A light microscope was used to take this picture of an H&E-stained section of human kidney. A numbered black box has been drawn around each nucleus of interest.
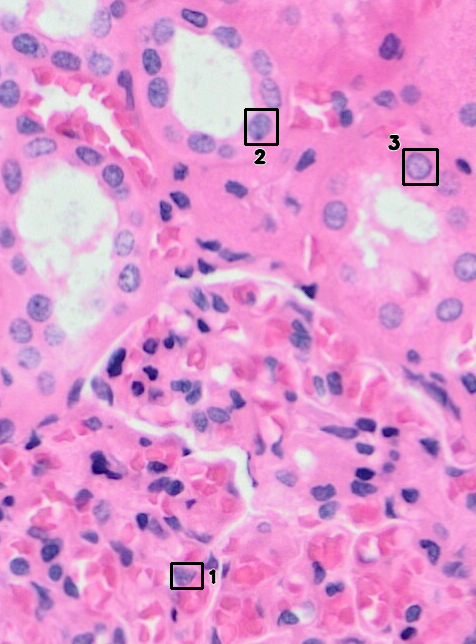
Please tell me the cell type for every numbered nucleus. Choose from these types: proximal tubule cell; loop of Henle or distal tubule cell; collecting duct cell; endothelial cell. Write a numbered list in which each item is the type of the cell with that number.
1. endothelial cell
2. collecting duct cell
3. proximal tubule cell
